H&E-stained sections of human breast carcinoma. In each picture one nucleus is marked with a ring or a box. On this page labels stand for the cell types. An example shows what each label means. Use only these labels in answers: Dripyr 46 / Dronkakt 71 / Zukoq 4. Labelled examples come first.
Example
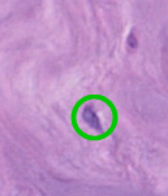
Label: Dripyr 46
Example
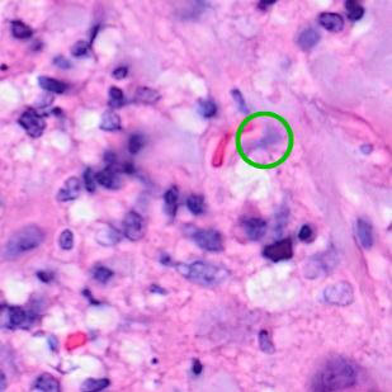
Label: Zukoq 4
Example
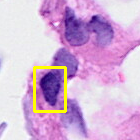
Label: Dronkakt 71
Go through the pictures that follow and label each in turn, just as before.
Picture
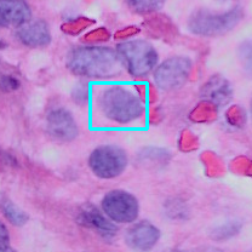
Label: Dronkakt 71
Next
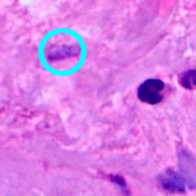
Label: Dripyr 46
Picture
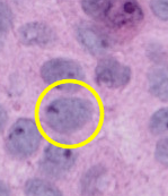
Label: Dronkakt 71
